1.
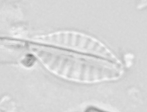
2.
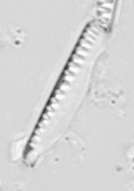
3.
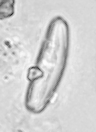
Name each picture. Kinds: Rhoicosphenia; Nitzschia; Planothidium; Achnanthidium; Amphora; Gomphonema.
Picture 1: Planothidium
Picture 2: Gomphonema
Picture 3: Achnanthidium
